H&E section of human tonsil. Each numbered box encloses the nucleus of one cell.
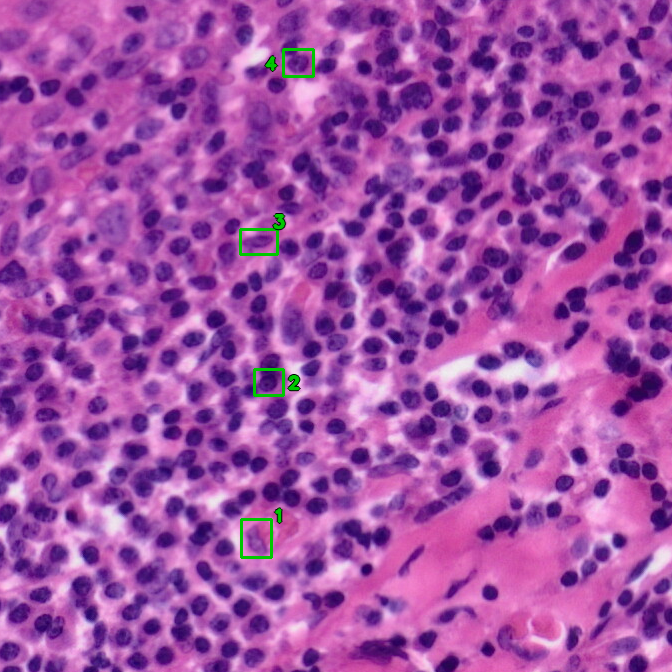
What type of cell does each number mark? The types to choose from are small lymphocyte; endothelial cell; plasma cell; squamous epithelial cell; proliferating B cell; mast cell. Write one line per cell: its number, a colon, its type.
1: endothelial cell
2: plasma cell
3: squamous epithelial cell
4: plasma cell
